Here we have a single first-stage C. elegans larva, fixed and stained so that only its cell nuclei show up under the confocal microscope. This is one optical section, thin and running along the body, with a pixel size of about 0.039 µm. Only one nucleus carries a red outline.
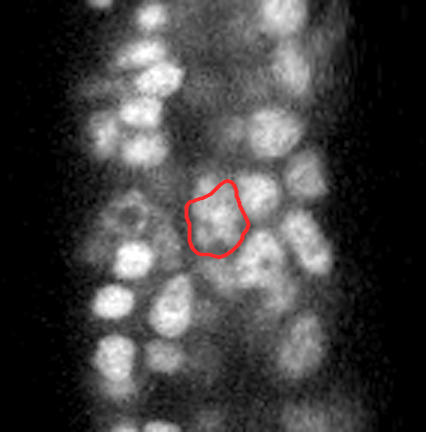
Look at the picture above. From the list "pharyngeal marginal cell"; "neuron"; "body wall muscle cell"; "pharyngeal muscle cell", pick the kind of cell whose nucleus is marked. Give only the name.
pharyngeal marginal cell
